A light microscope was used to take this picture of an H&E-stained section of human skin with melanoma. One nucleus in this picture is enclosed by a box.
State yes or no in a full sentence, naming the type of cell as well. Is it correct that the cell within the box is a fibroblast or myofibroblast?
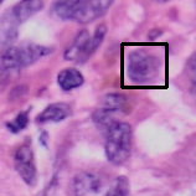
No, rather than being a fibroblast or myofibroblast, the cell within the box is a melanoma cell.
